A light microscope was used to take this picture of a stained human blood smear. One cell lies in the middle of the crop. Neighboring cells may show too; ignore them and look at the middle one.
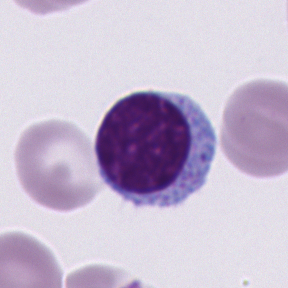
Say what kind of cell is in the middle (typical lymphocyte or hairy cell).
typical lymphocyte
